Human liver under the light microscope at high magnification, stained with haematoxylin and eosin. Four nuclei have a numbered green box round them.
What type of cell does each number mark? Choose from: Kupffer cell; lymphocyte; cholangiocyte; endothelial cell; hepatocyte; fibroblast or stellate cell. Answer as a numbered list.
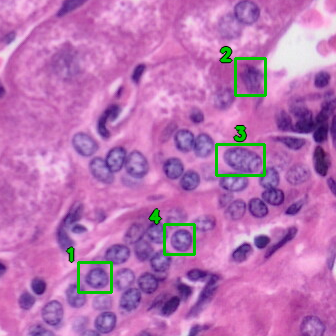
1. cholangiocyte
2. fibroblast or stellate cell
3. cholangiocyte
4. cholangiocyte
